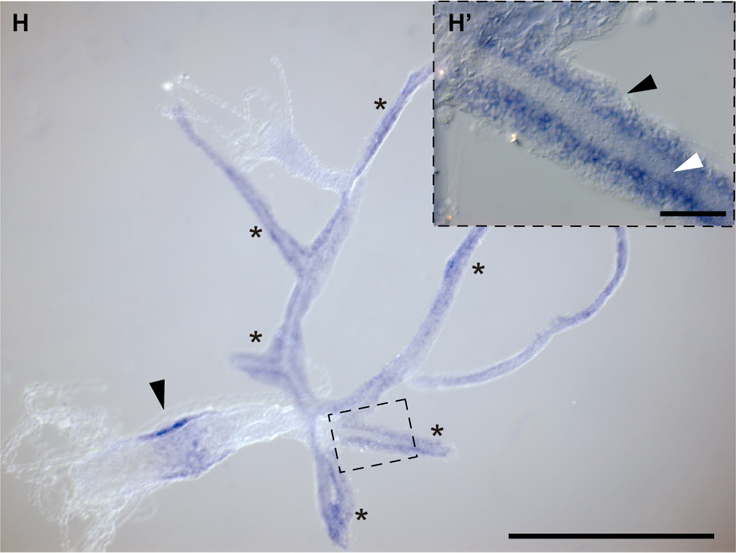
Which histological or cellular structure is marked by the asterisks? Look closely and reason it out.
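The asterisks lie beside long, thin, branching tubes. The tubes spread out across the field from a central point.
Hence: stolons.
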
